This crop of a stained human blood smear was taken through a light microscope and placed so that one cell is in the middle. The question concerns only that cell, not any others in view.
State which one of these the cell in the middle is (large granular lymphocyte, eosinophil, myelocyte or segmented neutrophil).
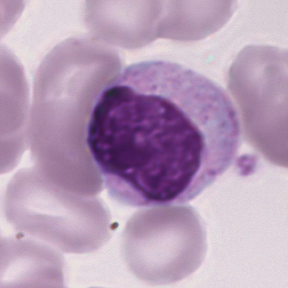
myelocyte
